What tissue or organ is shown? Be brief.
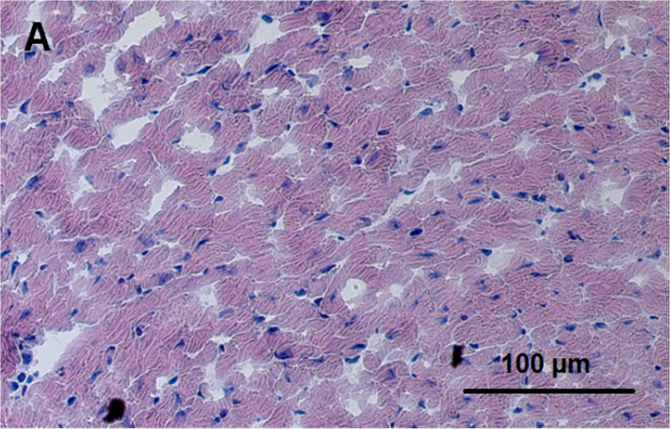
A: Heart.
